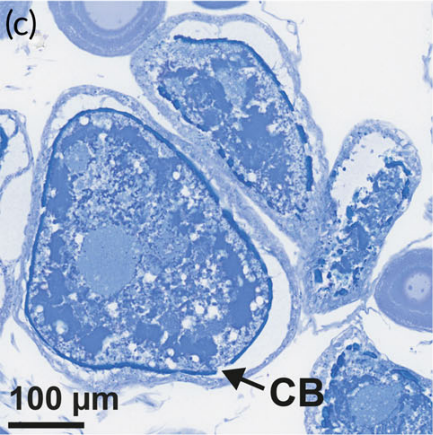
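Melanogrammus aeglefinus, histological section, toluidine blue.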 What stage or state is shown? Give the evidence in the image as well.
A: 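The dark envelope band is still largely continuous but interrupted in places. The ooplasm is vacuolated and irregular. On this evidence: Early alpha atresia.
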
